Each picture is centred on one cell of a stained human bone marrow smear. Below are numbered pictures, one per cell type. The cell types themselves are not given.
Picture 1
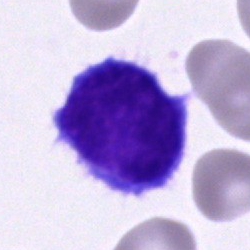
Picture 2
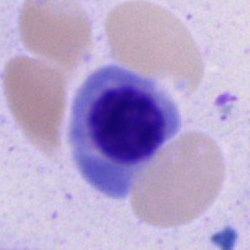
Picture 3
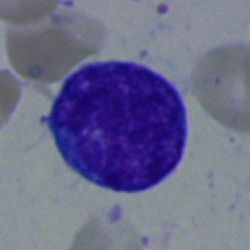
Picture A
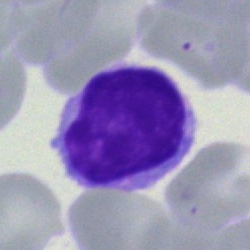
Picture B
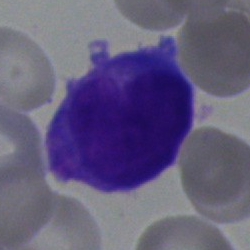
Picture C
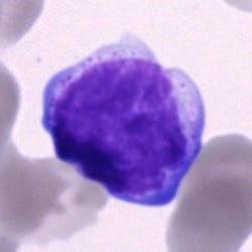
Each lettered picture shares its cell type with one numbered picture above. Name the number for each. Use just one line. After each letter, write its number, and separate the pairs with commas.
A 1, B 3, C 3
